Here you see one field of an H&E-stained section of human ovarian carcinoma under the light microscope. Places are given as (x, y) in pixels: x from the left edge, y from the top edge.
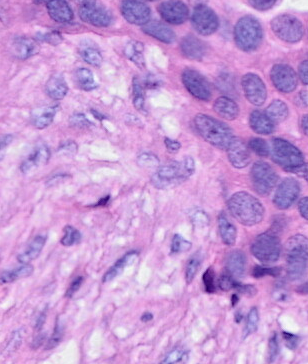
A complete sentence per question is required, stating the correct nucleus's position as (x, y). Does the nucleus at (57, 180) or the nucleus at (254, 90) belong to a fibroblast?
It is the nucleus at (57, 180) that forms part of a fibroblast.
